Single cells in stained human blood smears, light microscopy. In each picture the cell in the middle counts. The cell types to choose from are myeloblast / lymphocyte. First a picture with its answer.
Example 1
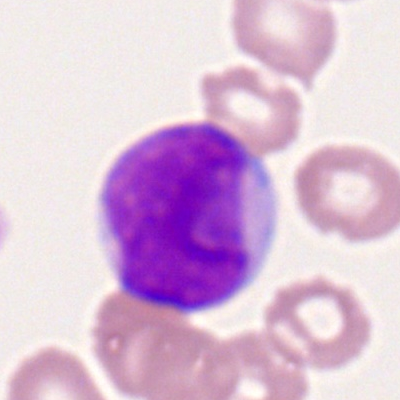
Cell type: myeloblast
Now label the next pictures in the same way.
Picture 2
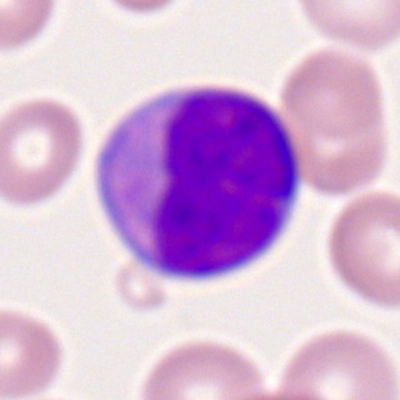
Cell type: myeloblast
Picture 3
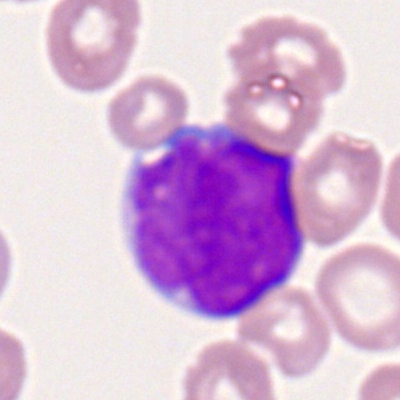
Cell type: myeloblast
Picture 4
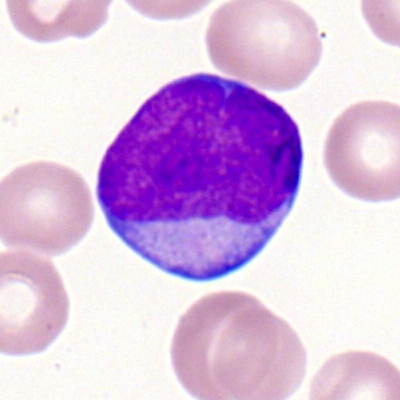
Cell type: myeloblast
